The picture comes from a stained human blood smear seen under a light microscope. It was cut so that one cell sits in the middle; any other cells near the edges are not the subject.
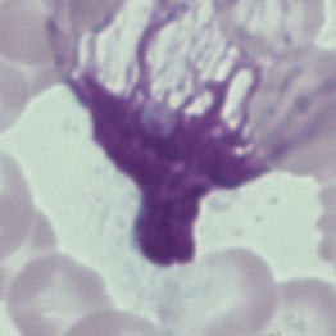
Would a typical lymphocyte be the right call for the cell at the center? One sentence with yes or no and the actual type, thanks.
No, the central cell is a smudge cell; it should not be labelled a typical lymphocyte.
